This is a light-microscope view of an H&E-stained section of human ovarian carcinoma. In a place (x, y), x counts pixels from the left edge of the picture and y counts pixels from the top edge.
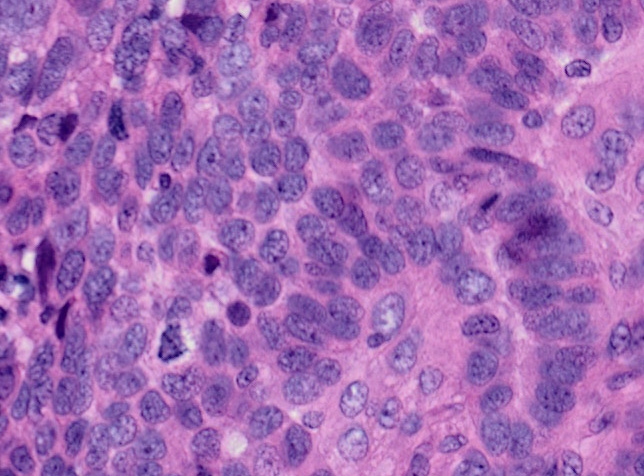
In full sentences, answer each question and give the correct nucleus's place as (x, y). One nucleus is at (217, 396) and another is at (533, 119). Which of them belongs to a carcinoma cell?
The one nucleus of the two that belongs to a carcinoma cell is at (217, 396).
